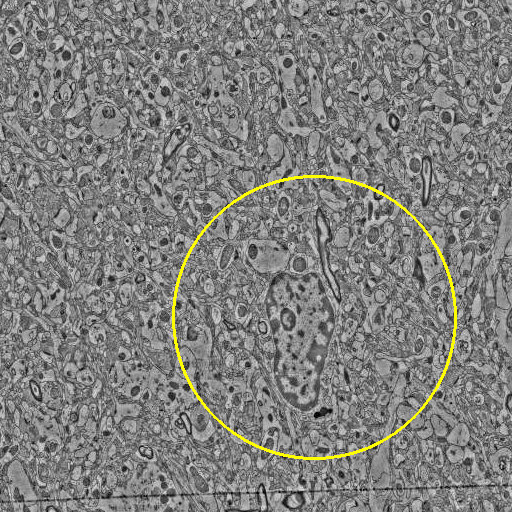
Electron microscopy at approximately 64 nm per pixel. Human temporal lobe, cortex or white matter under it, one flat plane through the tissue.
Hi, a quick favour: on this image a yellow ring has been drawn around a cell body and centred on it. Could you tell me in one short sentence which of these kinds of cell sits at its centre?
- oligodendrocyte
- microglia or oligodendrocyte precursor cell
The ring is centred on a microglial cell or oligodendrocyte precursor cell.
